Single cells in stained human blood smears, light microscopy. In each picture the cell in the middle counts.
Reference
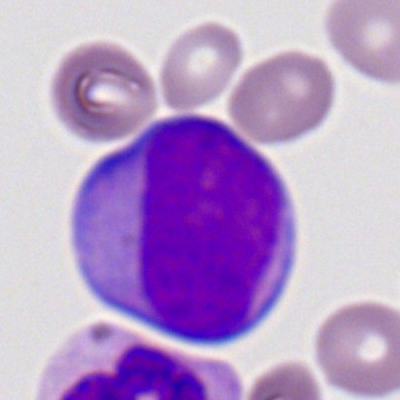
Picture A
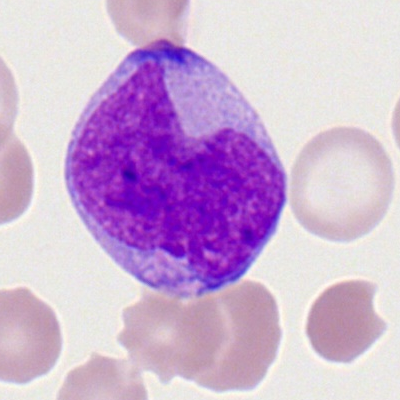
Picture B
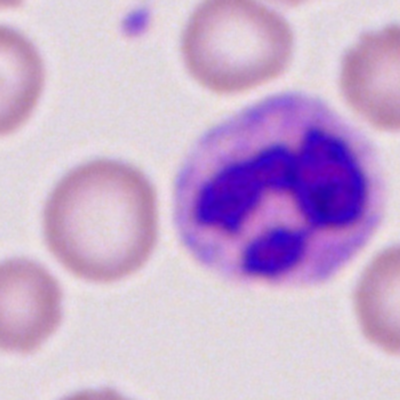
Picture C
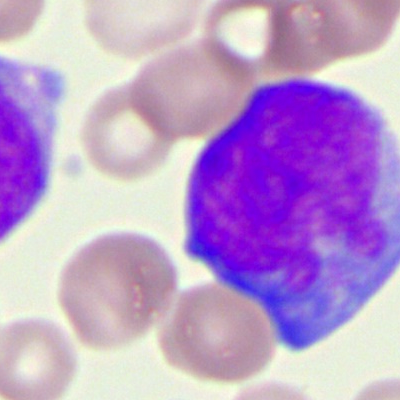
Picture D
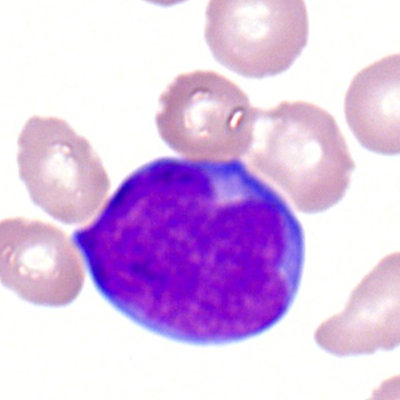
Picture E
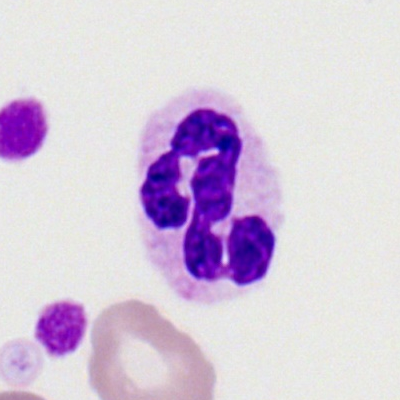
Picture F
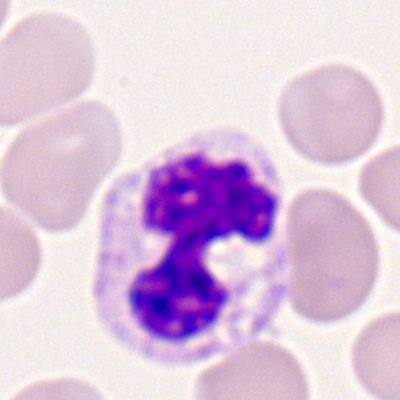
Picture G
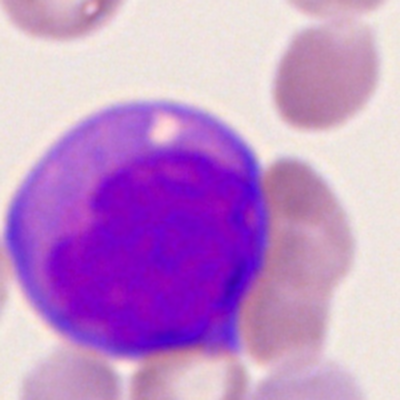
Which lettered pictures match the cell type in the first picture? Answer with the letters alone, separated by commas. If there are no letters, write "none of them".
A, C, D, G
